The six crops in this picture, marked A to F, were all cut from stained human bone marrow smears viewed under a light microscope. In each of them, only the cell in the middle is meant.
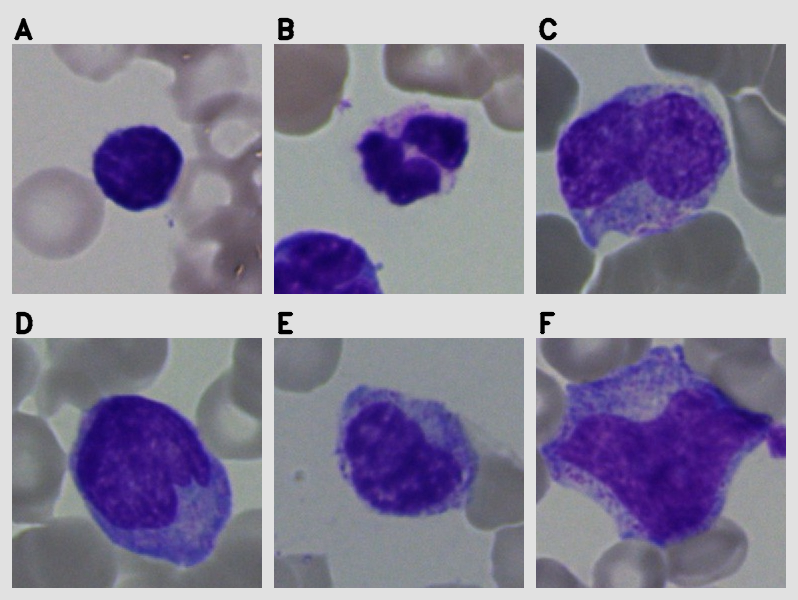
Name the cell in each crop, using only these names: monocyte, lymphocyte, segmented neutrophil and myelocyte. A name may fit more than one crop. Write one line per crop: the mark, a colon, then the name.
A: lymphocyte
B: segmented neutrophil
C: monocyte
D: monocyte
E: myelocyte
F: myelocyte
